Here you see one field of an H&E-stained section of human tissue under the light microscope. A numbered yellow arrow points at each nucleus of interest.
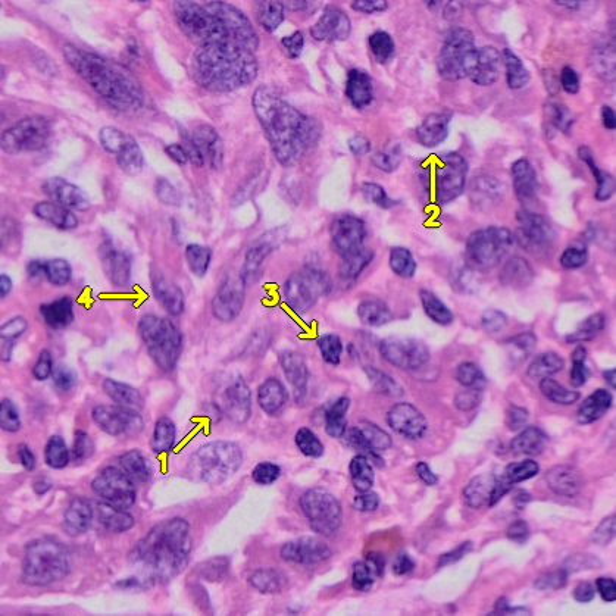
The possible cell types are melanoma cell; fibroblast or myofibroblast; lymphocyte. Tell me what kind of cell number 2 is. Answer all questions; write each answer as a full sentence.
That cell with number 2 is a melanoma cell.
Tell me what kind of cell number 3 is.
The cell to which the number 3 is assigned is a lymphocyte.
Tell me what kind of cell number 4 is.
The cell referenced by the number 4 is a melanoma cell in this field.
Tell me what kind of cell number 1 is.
Cell number 1 in this section is a melanoma cell.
